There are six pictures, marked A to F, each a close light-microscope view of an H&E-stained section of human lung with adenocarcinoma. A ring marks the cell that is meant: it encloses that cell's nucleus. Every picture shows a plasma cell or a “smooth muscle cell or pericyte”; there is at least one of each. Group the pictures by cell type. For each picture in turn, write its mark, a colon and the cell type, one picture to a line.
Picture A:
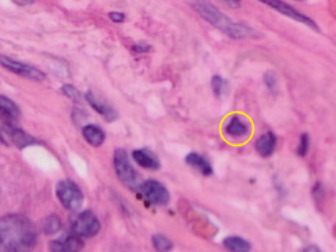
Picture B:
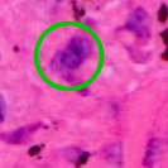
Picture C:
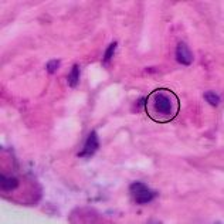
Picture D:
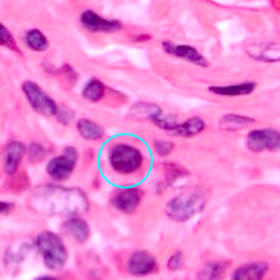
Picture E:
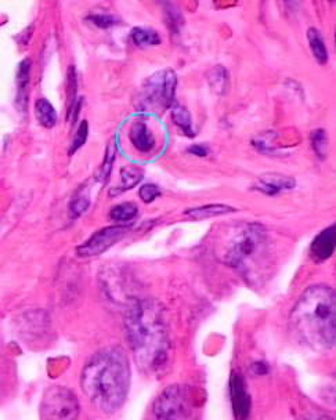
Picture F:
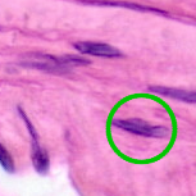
A: smooth muscle cell or pericyte
B: plasma cell
C: smooth muscle cell or pericyte
D: plasma cell
E: plasma cell
F: smooth muscle cell or pericyte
